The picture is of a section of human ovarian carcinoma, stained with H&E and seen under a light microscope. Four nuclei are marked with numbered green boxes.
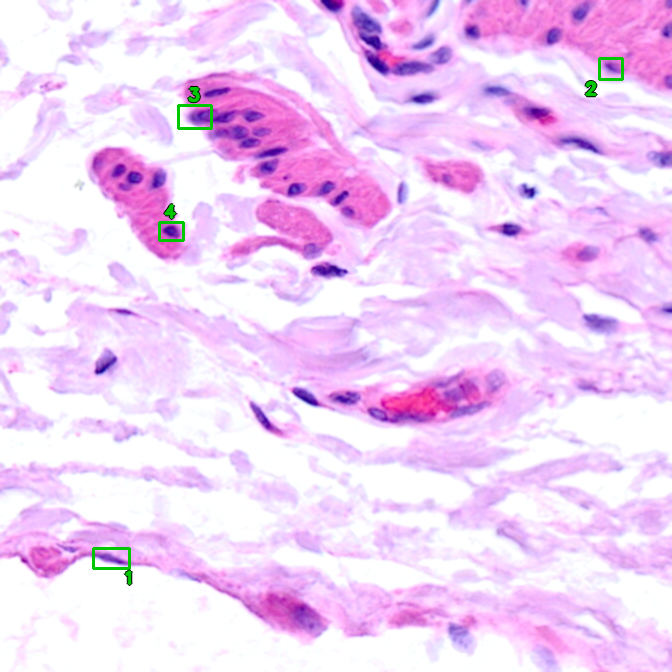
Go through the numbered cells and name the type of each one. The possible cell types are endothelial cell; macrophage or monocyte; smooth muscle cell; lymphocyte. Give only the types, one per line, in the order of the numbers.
endothelial cell
smooth muscle cell
smooth muscle cell
smooth muscle cell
